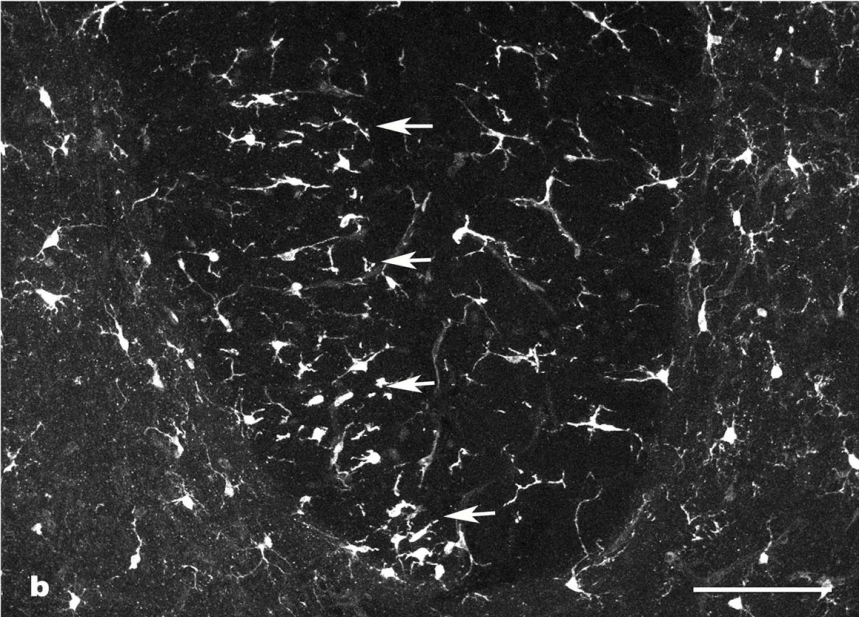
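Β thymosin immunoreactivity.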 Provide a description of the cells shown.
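Microglia in and around a degenerating fibre tract appear bright white on a dark background. Cells outside this region are more evenly spaced and more finely branched. Faint, elongated fibre-like profiles also cross the dark central region.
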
